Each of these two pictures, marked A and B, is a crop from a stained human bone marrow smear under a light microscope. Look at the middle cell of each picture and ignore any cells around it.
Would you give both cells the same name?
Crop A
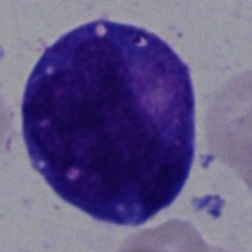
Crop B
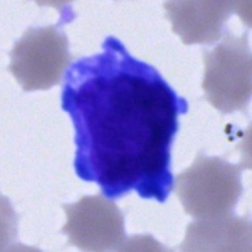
yes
